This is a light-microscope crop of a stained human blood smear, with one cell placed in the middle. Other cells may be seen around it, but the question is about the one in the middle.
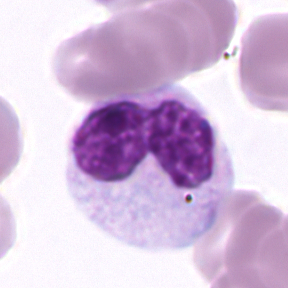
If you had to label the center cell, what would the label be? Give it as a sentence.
The cell featured at the centre of this crop is a band neutrophil.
